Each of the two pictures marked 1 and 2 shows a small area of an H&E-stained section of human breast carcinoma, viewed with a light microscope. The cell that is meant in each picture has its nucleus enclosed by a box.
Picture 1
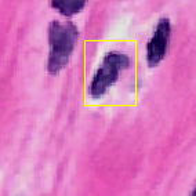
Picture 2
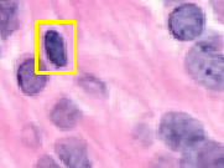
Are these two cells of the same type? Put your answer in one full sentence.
Yes, both cells are lymphocytes.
